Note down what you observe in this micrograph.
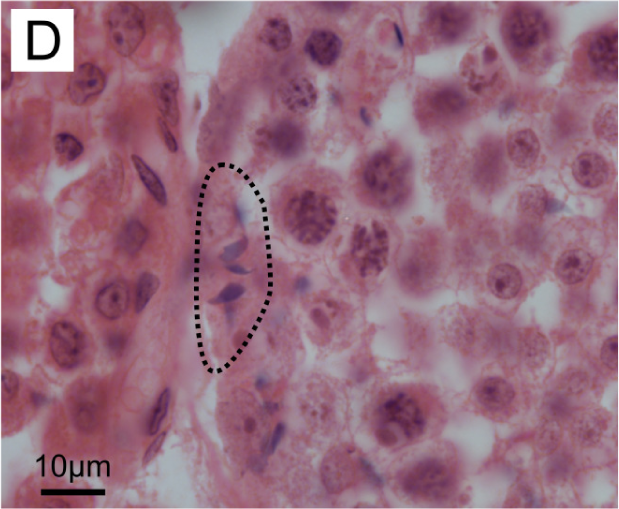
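This is the edge of a seminiferous tubule stained with hematoxylin and eosin, with germ cells of several kinds inside and the tubule wall at the left. Along the left side, flattened cells with elongated, spindle-shaped nuclei form the boundary and the tissue between tubules. Inside the tubule, large round cells with coarse, granular, purple chromatin lie among smaller round cells with paler, finer nuclei, set in pink cytoplasm. Near the base, a dotted outline encloses a group of several small, dense, dark blue, elongated or crescent-shaped heads lying together within pale cytoplasm. Such compact clusters of condensed heads within one cell's cytoplasm are not where these heads normally lie, and they look like engulfed remnants.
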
